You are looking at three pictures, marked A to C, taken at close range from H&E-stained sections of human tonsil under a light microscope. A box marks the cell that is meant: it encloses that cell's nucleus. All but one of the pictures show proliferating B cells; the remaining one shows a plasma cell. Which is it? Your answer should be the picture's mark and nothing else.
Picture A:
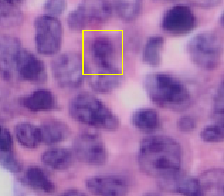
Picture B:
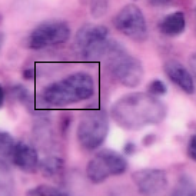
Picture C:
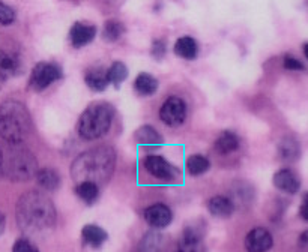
C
